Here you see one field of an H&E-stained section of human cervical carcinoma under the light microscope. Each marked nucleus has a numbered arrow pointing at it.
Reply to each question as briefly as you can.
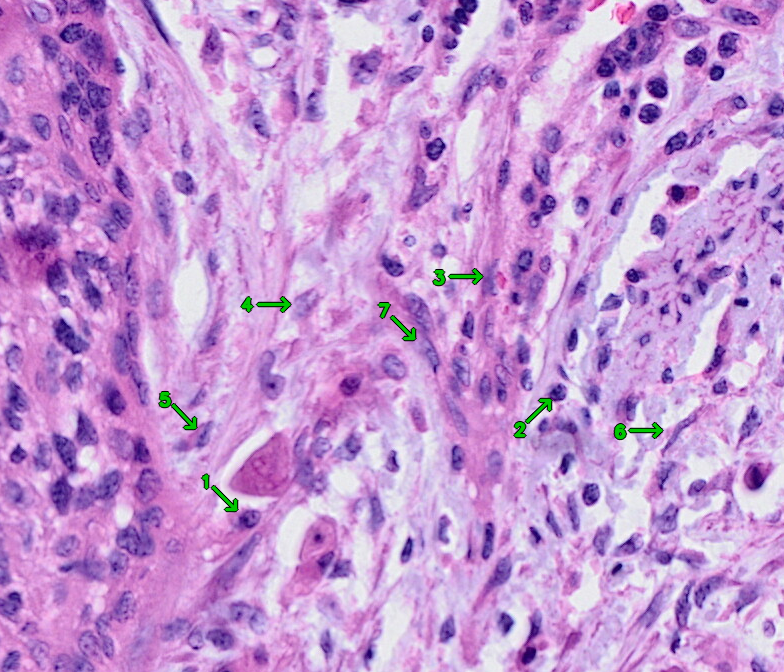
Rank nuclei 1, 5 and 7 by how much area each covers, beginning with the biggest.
7, 1, 5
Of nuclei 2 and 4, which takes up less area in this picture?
2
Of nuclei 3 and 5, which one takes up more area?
3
